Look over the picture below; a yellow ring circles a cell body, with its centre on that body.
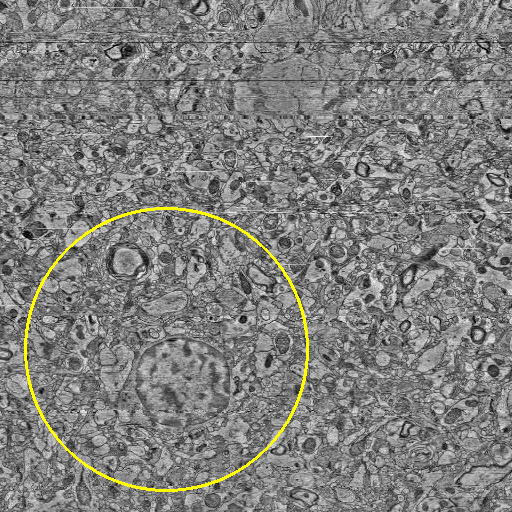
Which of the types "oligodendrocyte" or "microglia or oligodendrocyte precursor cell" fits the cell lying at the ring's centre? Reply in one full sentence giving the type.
The picture shows an oligodendrocyte at the centre of the yellow ring.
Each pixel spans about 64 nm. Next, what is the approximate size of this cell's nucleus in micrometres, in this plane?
About 6 micrometres across in this plane.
